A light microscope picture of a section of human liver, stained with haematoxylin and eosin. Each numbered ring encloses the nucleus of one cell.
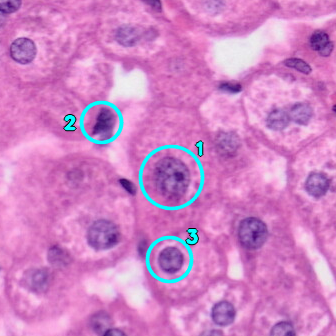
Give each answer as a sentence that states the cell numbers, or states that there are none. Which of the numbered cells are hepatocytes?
Cells numbered 1 and 3 belong to the group of hepatocytes.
